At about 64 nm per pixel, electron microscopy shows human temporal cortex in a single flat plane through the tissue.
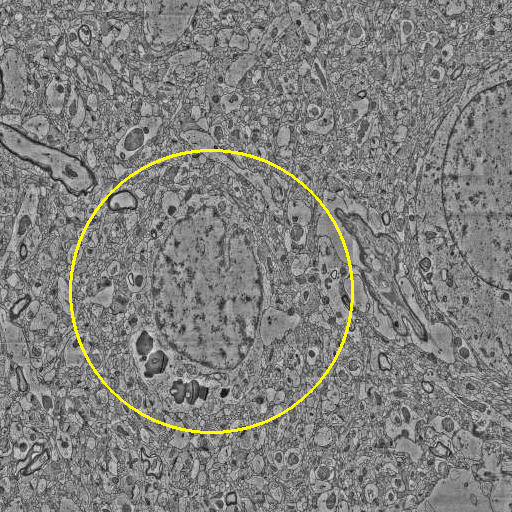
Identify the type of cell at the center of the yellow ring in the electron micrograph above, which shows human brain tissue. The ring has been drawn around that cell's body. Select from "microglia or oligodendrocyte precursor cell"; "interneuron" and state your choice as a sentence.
The yellow ring is centered on the body of an interneuron.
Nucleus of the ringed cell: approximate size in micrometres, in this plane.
In this plane, approximately 10 by 7 micrometers.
